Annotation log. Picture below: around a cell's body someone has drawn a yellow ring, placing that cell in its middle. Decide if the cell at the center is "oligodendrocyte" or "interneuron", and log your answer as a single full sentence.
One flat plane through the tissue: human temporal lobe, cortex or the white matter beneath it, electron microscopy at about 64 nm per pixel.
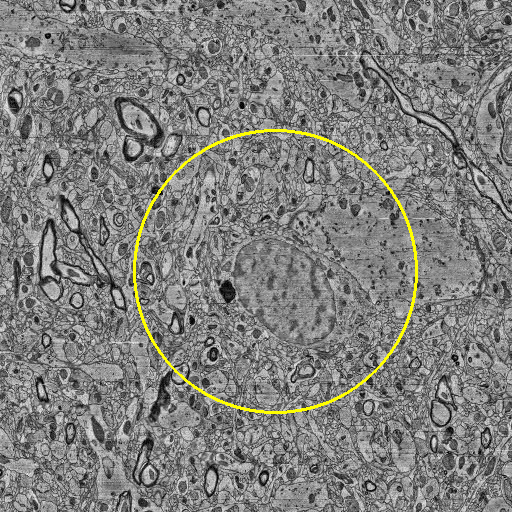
My entry records an oligodendrocyte as the cell sitting at the center of the yellow ring.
